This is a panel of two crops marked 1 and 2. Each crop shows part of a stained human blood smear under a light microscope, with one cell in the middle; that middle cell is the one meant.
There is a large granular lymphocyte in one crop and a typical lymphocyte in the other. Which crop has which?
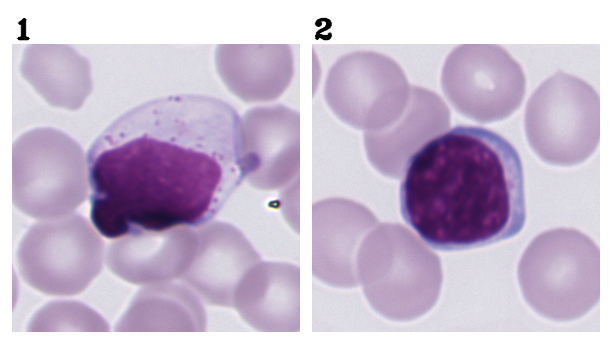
1: large granular lymphocyte
2: typical lymphocyte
